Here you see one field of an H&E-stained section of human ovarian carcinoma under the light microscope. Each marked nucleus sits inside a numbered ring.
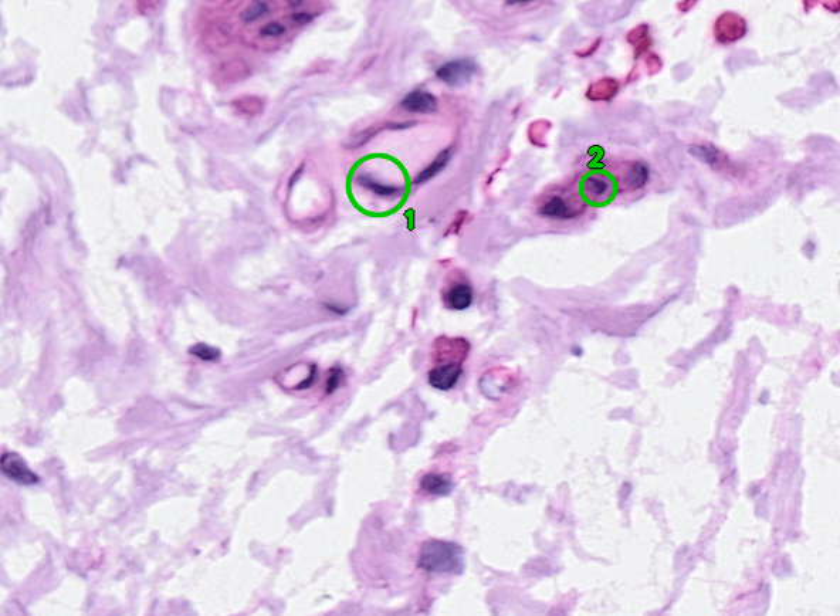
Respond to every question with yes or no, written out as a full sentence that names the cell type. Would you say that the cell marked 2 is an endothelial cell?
No, the correct answer for cell 2 is a smooth muscle cell, not an endothelial cell.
